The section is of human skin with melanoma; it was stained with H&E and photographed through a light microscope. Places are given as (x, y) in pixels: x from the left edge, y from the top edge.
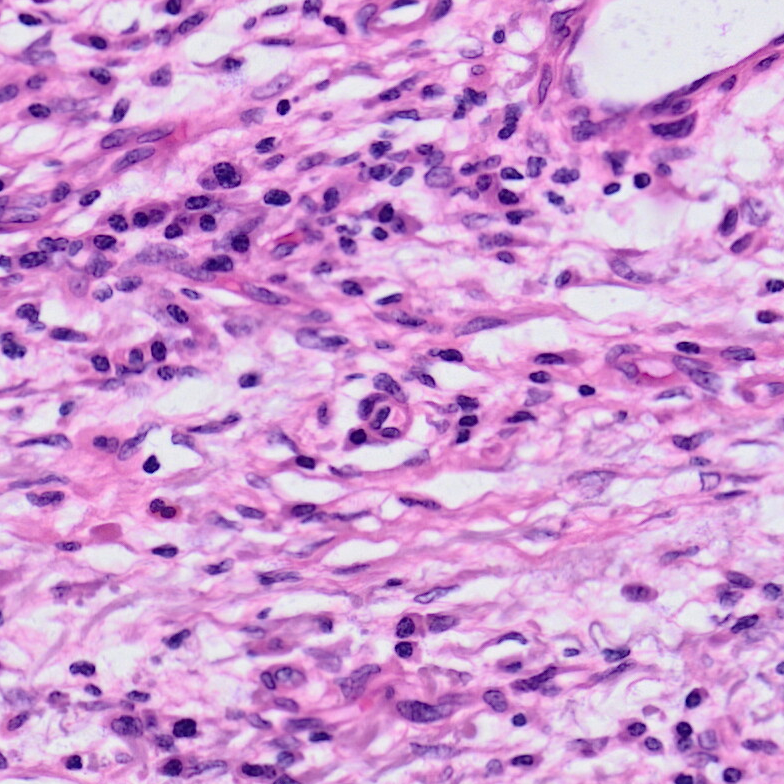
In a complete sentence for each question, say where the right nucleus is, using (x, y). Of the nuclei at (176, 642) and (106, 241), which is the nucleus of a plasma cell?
The nucleus of a plasma cell is the one found at (106, 241), not the other.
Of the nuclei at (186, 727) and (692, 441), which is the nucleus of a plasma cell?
Identified as belonging to a plasma cell is the nucleus at (186, 727).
